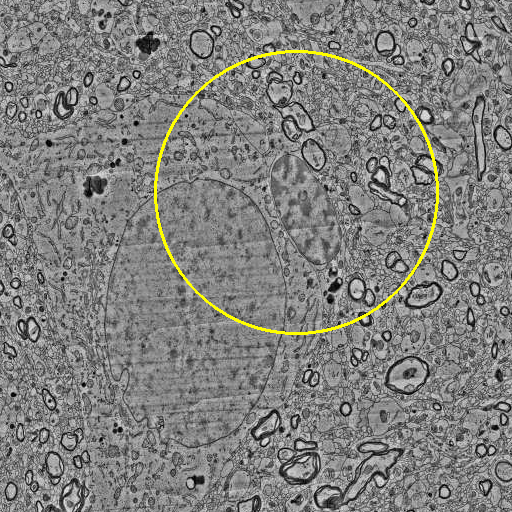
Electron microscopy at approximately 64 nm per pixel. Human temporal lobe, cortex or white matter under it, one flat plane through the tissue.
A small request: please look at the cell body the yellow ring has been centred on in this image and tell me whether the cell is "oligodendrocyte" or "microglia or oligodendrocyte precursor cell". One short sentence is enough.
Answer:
The cell marked by the ring is a microglial cell or oligodendrocyte precursor cell.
